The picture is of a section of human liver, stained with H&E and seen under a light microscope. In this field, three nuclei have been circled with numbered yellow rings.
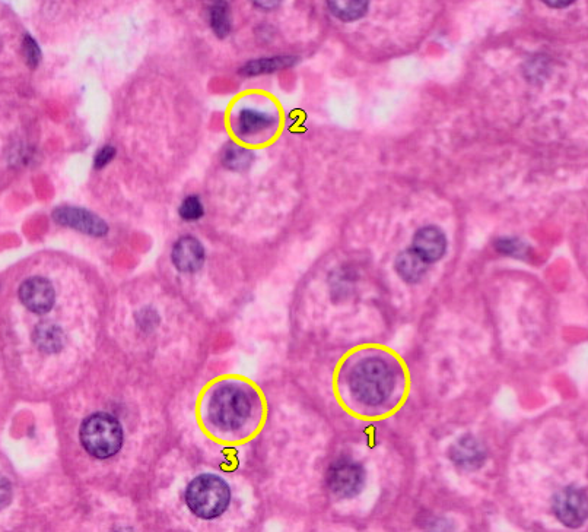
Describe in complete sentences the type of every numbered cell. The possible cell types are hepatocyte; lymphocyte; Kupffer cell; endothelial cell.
Cells 1 and 3 are hepatocytes. Cell 2 is an endothelial cell.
